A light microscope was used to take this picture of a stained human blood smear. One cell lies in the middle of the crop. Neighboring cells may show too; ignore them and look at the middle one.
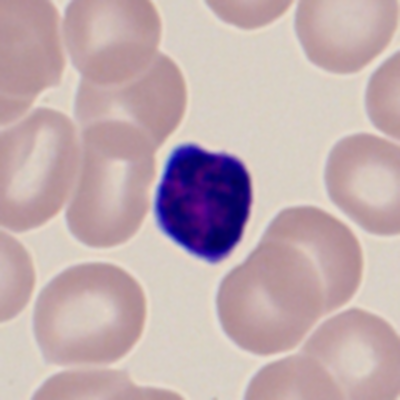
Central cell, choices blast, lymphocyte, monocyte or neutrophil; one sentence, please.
At the crop's centre, the cell is a lymphocyte.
